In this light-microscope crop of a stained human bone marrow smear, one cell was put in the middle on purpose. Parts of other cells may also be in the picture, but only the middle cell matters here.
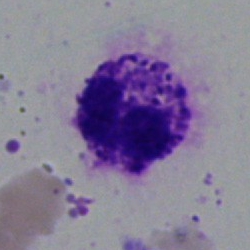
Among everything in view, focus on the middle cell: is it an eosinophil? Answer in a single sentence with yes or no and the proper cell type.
No, the central cell is counted as a basophil instead of an eosinophil.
